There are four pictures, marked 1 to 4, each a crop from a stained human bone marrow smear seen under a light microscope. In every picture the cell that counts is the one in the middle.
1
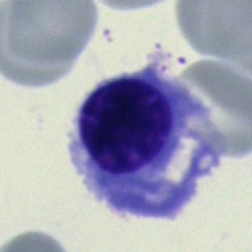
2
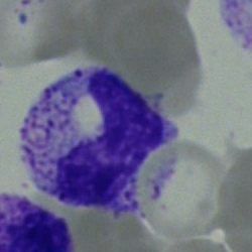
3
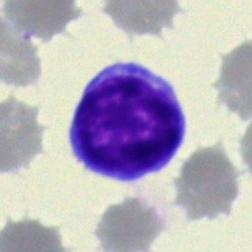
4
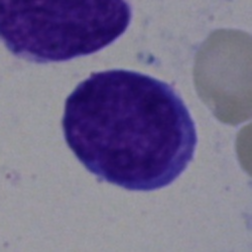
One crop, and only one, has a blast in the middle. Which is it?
4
